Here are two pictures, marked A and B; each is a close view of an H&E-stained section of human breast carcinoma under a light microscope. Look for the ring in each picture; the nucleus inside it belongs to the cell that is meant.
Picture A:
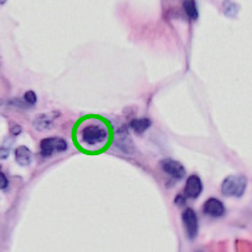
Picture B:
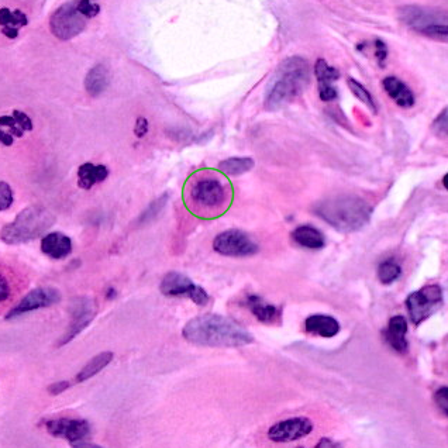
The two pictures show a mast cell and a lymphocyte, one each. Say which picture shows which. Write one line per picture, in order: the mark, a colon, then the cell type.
A: lymphocyte
B: mast cell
